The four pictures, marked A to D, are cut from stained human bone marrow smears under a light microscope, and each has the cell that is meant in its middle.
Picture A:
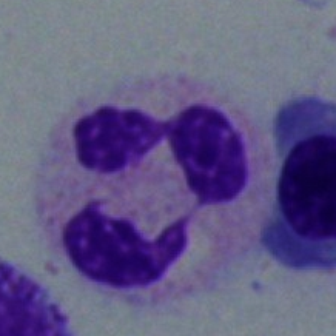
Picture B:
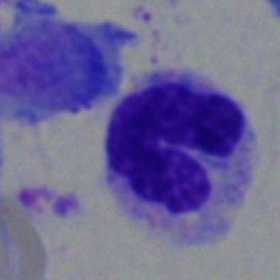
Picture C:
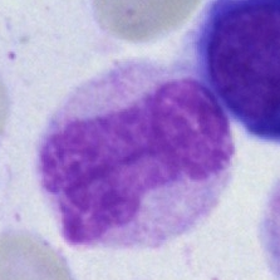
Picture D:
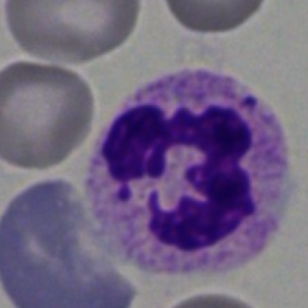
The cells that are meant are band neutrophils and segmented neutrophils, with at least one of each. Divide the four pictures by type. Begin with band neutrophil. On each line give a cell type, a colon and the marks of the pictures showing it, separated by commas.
band neutrophil: B, C
segmented neutrophil: A, D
